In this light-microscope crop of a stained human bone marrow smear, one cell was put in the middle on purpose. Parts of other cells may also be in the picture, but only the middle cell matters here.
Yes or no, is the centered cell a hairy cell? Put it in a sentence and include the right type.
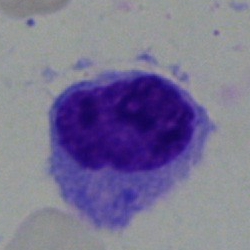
Yes, the cell of interest in the centre is a hairy cell.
